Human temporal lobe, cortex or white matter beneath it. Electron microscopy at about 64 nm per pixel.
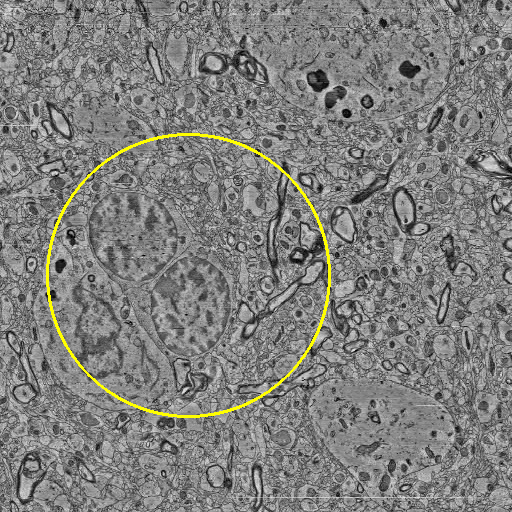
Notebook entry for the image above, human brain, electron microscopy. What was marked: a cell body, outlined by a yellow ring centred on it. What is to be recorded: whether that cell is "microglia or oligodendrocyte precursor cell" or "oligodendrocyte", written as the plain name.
oligodendrocyte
